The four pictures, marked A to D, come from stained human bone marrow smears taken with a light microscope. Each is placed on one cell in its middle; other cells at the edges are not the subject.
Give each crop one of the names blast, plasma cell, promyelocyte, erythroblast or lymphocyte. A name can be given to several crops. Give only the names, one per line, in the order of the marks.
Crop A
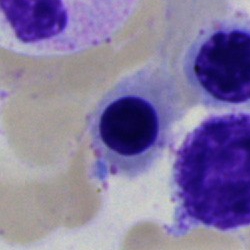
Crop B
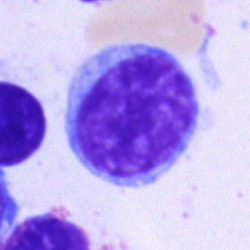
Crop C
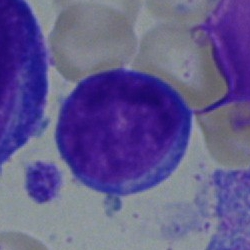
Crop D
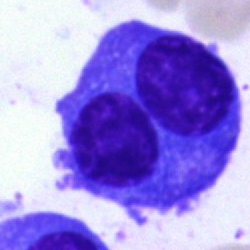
erythroblast
lymphocyte
blast
plasma cell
